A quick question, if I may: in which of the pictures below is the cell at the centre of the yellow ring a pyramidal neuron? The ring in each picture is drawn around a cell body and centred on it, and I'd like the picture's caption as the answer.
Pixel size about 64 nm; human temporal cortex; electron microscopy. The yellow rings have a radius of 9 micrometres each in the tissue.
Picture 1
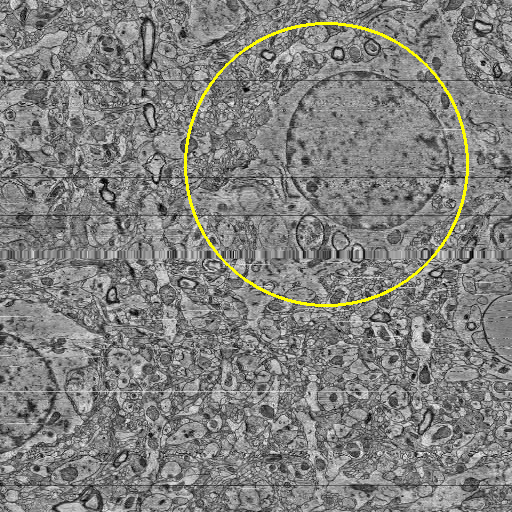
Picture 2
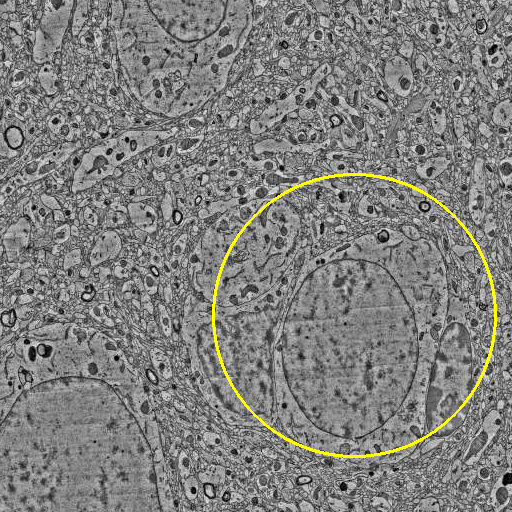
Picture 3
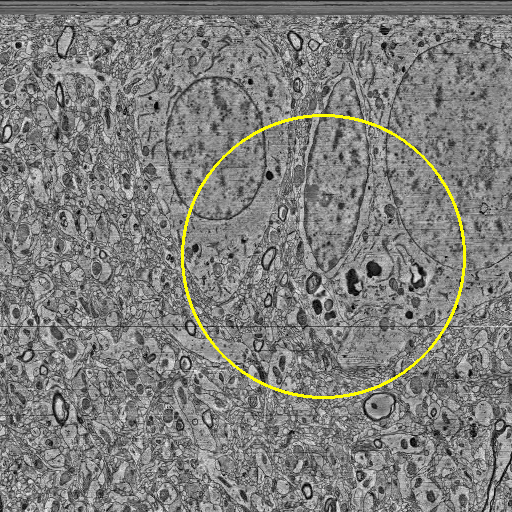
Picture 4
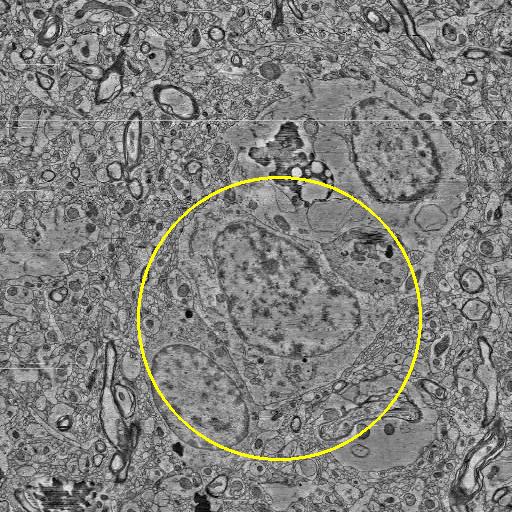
Picture 2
